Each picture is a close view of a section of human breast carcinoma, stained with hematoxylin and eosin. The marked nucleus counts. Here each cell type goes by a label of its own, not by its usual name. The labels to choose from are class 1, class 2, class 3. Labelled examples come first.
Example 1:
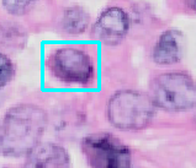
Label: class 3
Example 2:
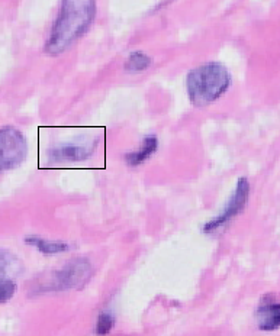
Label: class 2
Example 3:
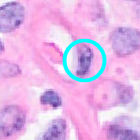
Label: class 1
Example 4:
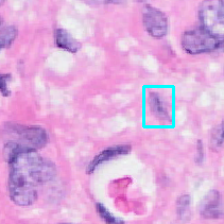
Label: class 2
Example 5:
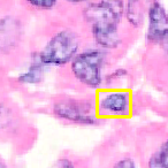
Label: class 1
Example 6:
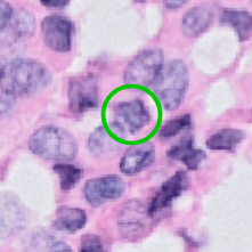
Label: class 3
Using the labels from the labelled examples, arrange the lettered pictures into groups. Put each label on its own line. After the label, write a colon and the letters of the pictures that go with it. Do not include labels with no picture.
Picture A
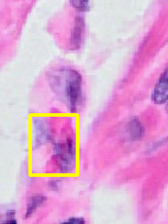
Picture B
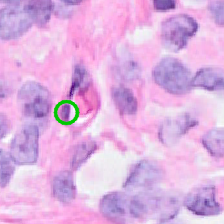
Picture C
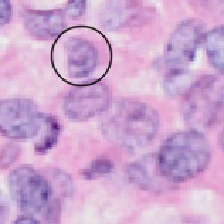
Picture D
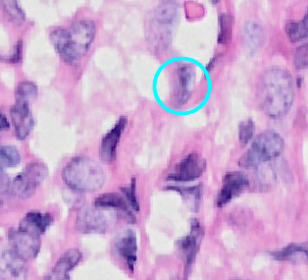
class 1: A, B, D
class 3: C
